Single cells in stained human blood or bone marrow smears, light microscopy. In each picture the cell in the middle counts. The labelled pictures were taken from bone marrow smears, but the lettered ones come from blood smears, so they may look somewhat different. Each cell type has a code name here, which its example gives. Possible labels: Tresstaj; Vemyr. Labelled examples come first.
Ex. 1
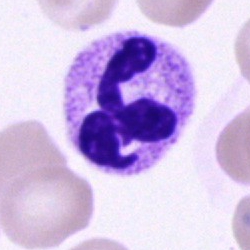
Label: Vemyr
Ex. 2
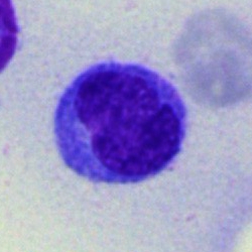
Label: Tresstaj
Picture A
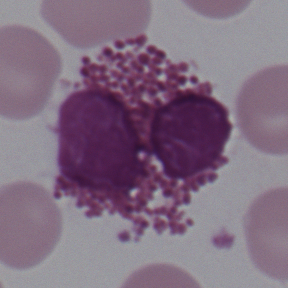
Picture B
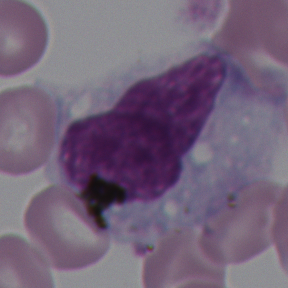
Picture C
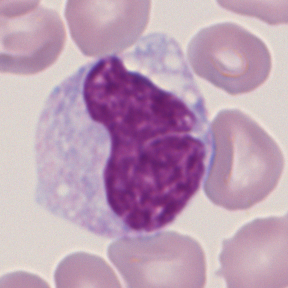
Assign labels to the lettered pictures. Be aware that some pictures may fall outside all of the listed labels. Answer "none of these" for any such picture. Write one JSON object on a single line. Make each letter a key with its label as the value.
{"A": "none of these", "B": "Tresstaj", "C": "Tresstaj"}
